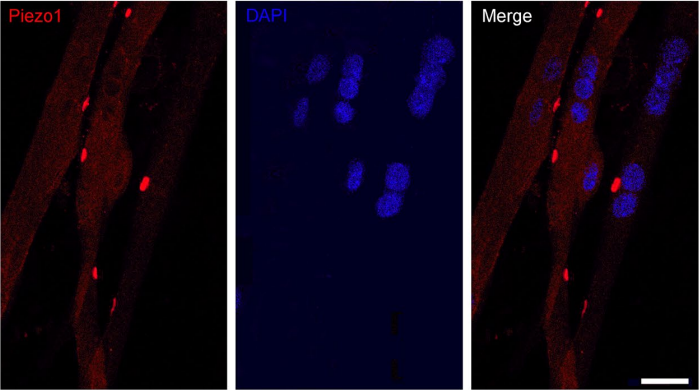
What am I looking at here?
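Differentiating myotubes appear as long, ribbon-like cells crossing the field diagonally and vertically. Oval nuclei lie in small groups and pairs inside the elongated cells. The cytoplasm shows faint, diffuse red, on which a few bright red elongated spots stand out. These bright spots are scattered along the cells, some near the nuclei and some at the cell edges.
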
